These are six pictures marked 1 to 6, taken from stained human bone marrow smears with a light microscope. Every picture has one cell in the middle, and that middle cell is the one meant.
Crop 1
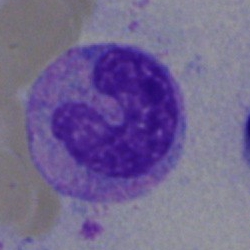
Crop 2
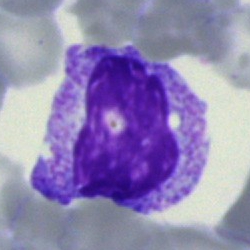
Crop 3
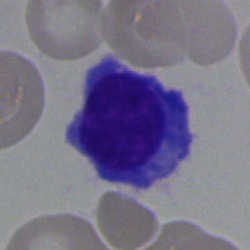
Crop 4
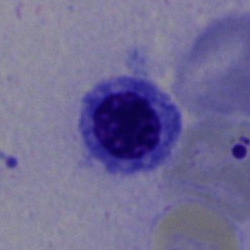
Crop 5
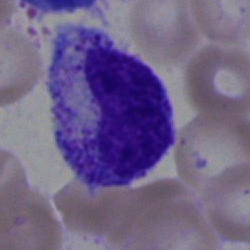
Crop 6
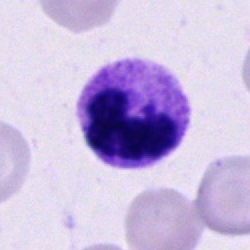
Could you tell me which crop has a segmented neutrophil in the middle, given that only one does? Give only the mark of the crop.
6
